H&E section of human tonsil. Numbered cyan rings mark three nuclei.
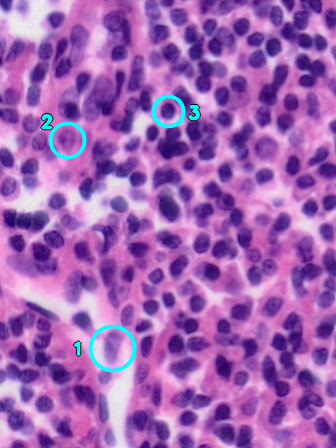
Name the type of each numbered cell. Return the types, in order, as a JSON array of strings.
["endothelial cell", "endothelial cell", "small lymphocyte"]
